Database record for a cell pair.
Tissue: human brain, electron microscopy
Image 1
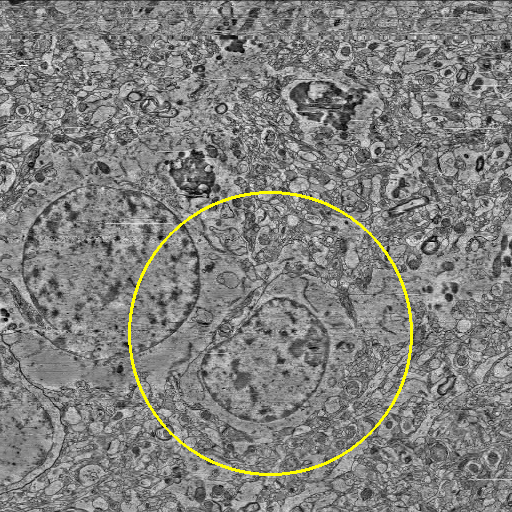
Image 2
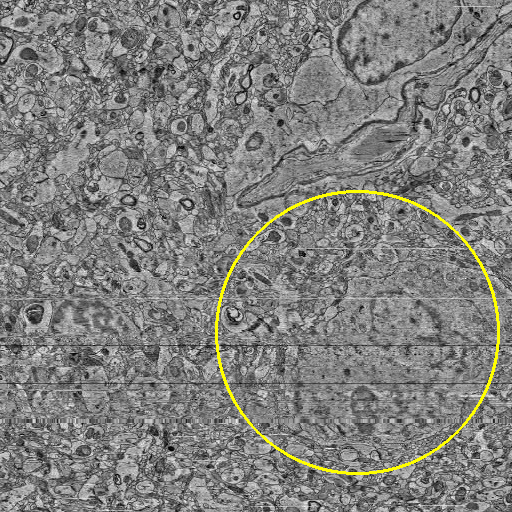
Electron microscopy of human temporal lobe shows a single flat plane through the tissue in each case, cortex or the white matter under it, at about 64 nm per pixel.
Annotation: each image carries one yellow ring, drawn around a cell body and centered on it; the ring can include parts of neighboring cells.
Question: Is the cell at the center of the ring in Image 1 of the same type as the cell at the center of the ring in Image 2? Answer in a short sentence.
No, the cells are of two types.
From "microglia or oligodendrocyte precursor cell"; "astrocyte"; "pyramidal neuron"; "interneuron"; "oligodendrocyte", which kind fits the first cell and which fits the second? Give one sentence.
The cell marked in the first picture is an astrocyte, and the one marked in the second is an interneuron.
